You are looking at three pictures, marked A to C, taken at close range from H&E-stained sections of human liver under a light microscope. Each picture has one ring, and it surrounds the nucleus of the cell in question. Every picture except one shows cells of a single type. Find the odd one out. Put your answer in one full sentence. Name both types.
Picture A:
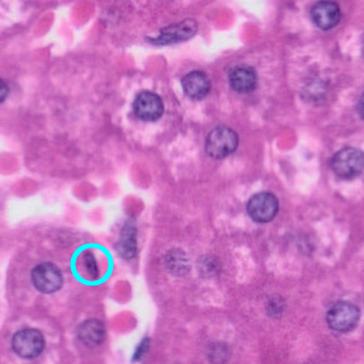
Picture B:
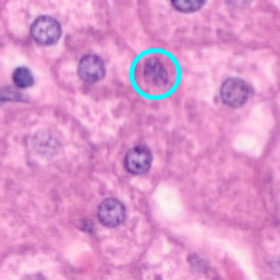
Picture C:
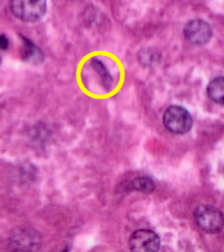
The others show “fibroblasts or stellate cells”, but picture C shows an endothelial cell.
